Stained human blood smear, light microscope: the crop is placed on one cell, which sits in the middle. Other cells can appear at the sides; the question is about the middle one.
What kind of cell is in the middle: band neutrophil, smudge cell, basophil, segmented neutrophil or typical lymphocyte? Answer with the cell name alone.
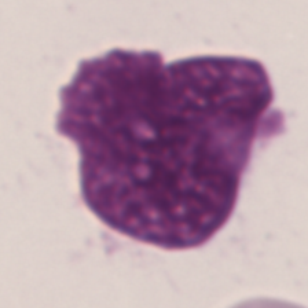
smudge cell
